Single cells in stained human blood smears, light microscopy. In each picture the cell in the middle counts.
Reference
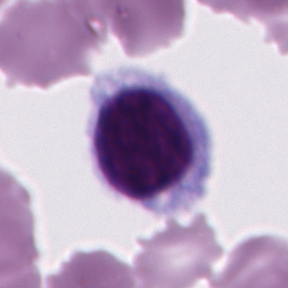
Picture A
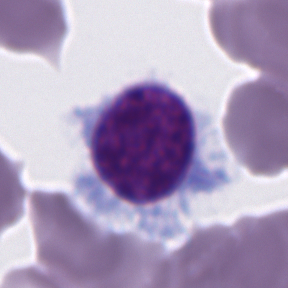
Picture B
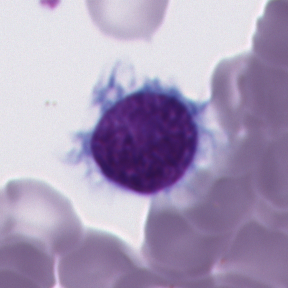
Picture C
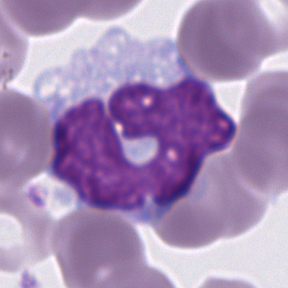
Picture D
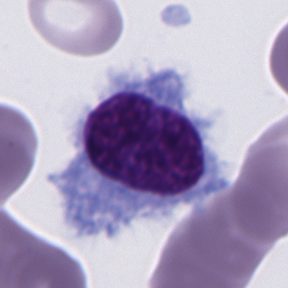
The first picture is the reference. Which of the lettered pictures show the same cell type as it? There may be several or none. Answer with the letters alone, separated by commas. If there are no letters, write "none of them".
A, B, D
